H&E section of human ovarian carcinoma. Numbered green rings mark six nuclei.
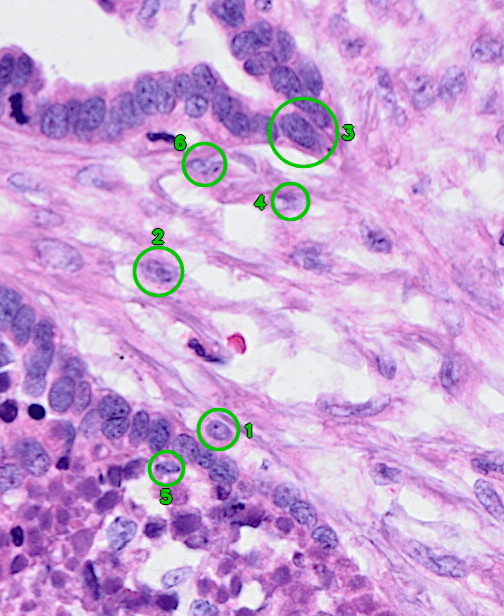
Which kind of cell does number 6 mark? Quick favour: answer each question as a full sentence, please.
The cell identified by the number 6 is a fibroblast.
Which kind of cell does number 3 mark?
Number 3 is placed on a carcinoma cell here.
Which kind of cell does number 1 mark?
Cell 1 is classified as a macrophage or monocyte.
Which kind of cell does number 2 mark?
The correct label for cell 2 is a fibroblast.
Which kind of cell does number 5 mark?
Corresponding to a macrophage or monocyte is the cell labelled 5.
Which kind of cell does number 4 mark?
The cell numbered 4 represents a fibroblast.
